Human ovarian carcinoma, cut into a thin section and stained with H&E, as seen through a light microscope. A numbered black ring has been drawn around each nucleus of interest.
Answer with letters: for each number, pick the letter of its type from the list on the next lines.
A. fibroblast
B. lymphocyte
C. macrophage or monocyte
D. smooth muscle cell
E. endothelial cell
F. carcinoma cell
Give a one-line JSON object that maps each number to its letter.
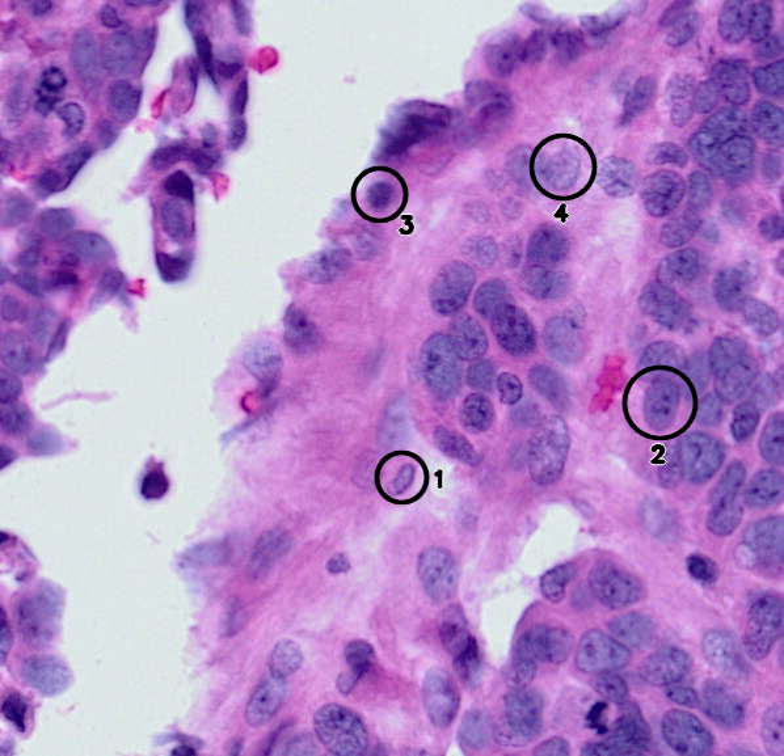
{"1": "C", "2": "F", "3": "B", "4": "A"}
